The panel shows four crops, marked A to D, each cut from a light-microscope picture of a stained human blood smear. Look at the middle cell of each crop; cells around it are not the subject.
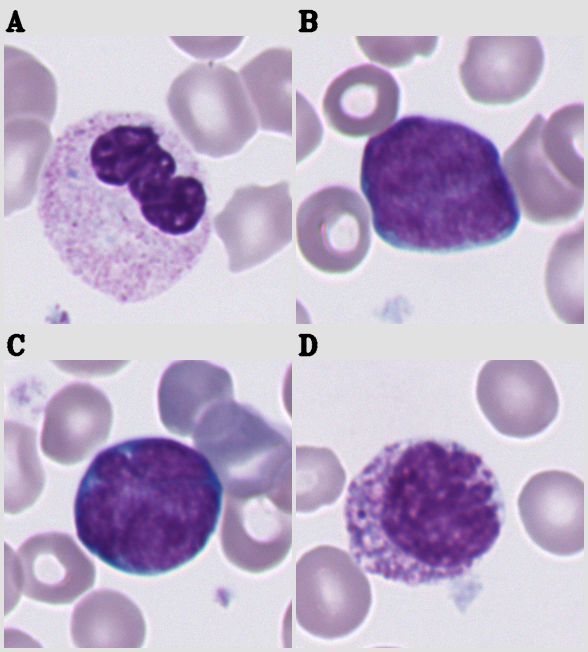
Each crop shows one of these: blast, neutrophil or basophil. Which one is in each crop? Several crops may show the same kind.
A: neutrophil
B: blast
C: blast
D: basophil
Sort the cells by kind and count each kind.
blast: 2
neutrophil: 1
basophil: 1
